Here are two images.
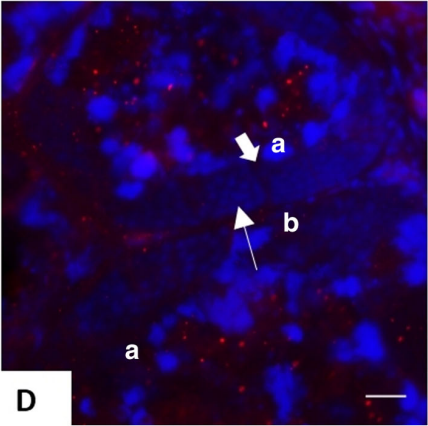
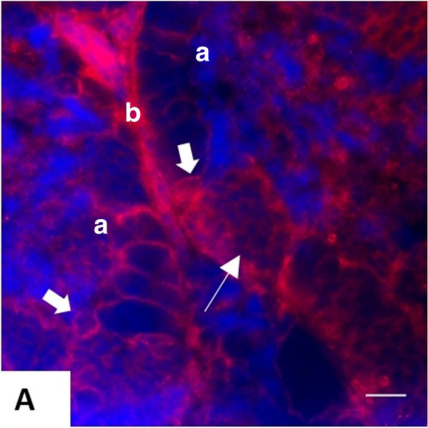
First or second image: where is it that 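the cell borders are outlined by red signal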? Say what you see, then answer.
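The second image. First image: red appears only as scattered faint dots, with no red outlines around cells. Second image: bright red lines trace the outlines of many cells.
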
